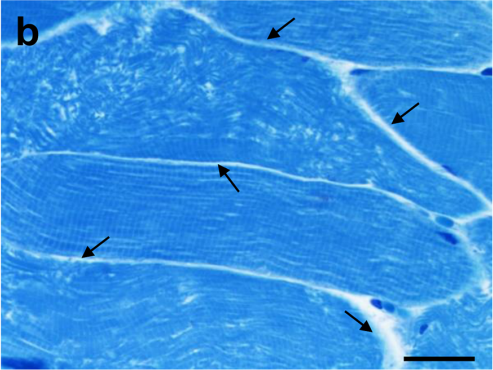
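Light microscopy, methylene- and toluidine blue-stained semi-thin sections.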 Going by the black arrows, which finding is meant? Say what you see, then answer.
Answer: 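The arrows point to pale gaps lying between adjacent blue fibers. The fibers run unevenly rather than in neat parallel rows.
Hence: the space among fibers appearing enlarged.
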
